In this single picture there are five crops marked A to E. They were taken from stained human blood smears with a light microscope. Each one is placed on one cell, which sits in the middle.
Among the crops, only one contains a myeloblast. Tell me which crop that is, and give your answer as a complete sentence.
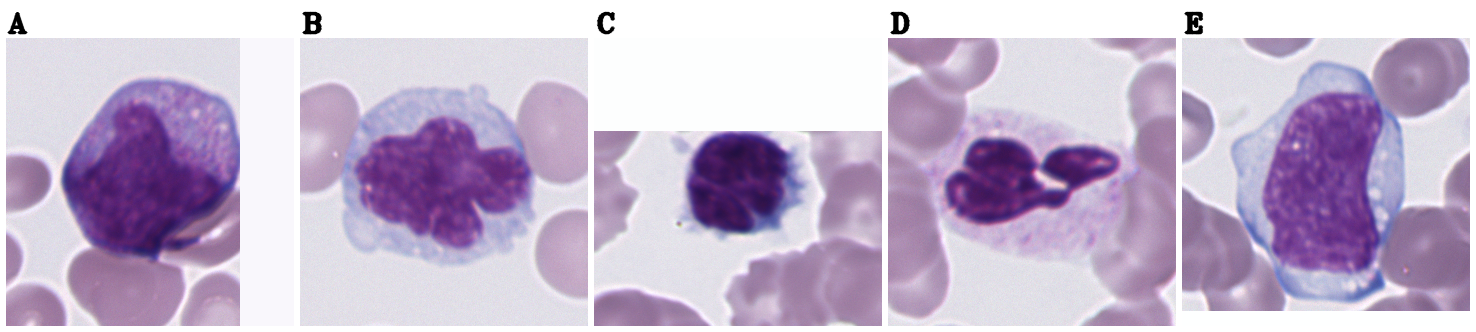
Crop E represents a myeloblast, while the other crops do not.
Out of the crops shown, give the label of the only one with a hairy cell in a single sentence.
Crop C, of the crops presented, is the one showing a hairy cell.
